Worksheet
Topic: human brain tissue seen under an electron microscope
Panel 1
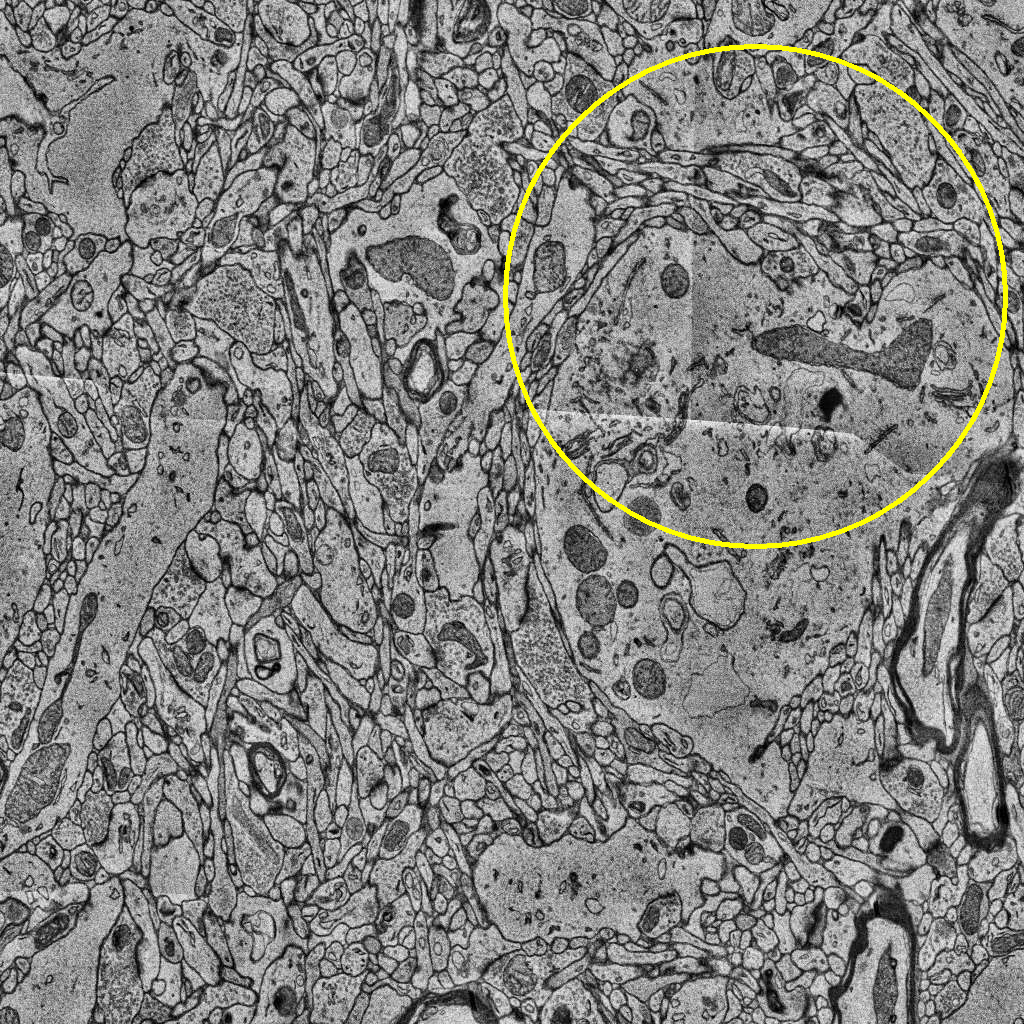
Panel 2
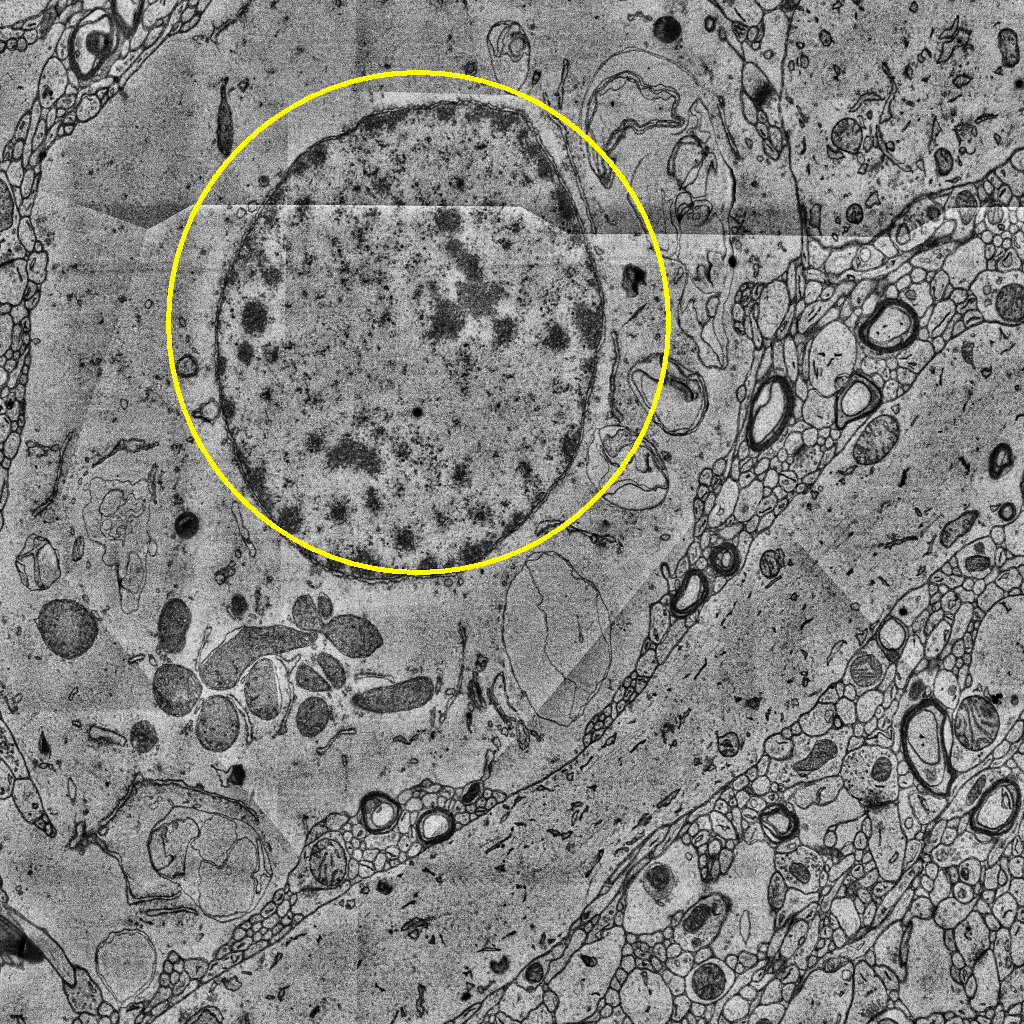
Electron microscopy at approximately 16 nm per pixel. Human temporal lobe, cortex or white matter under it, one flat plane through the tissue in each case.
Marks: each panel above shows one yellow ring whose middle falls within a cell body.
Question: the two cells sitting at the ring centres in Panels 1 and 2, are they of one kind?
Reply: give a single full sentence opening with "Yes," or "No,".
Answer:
Yes, the two cells at the ring centres in Panel 1 and Panel 2 are of one kind.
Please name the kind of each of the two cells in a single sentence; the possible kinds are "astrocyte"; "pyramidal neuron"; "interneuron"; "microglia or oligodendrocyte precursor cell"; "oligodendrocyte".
Both rings mark an astrocyte, one in each picture.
